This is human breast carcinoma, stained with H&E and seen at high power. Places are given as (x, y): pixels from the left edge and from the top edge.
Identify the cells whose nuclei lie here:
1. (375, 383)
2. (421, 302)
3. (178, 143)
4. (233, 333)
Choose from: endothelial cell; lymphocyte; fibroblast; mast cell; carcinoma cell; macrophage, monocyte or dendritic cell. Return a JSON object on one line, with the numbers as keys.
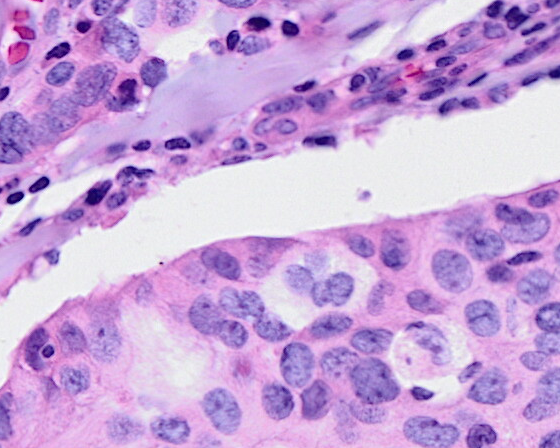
{"1": "carcinoma cell", "2": "carcinoma cell", "3": "lymphocyte", "4": "carcinoma cell"}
